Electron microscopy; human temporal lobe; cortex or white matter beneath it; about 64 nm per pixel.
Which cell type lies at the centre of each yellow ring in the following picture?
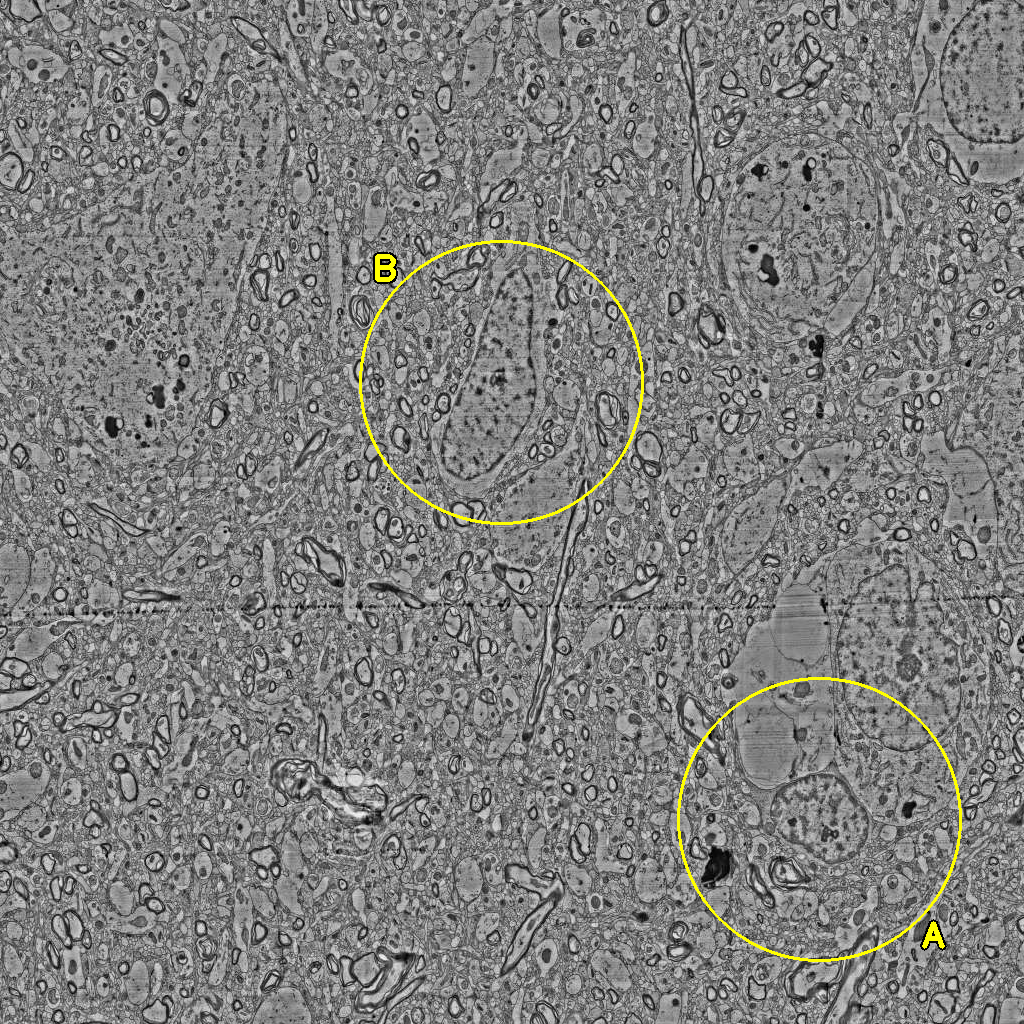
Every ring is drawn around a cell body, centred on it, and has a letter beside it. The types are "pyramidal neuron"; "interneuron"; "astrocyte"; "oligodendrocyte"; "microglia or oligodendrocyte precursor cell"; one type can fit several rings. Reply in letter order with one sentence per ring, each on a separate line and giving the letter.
Ring A marks the cell body of an oligodendrocyte.
Ring B marks the cell body of a microglial cell or oligodendrocyte precursor cell.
